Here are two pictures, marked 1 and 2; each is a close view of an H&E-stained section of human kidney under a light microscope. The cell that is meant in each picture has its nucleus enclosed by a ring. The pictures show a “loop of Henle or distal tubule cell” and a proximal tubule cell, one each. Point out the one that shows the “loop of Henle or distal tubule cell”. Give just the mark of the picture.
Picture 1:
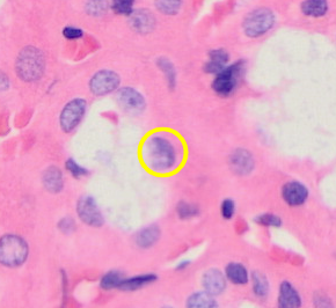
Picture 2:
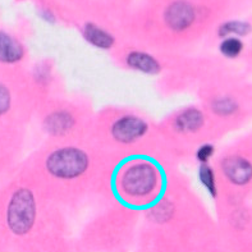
1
